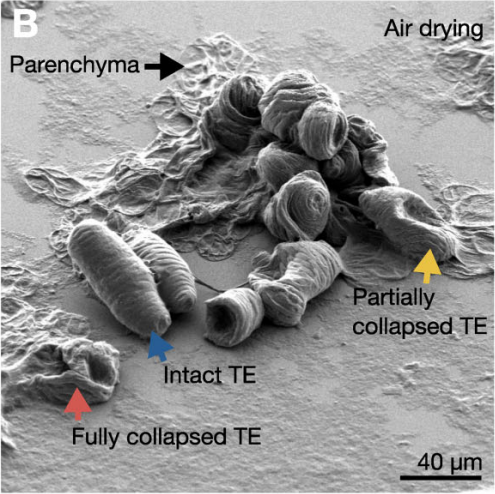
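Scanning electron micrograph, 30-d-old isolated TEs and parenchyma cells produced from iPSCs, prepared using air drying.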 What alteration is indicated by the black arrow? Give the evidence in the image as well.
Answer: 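The cells at the black arrow lie as a thin wrinkled sheet on the substrate. They have no rounded three-dimensional shape, unlike the banded cells standing up in the middle.
Completely flattened.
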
